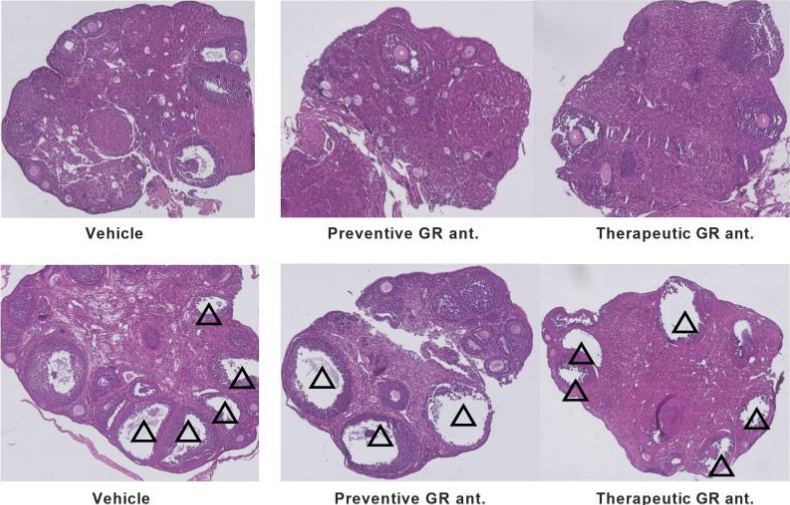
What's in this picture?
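Six pink-purple stained cross-sections of ovary are arranged in two rows of three. The upper-row sections show a dense, fairly uniform stroma containing follicles of several sizes and some large, solid, evenly stained rounded bodies, with only a few open follicular cavities. The cavities marked by triangles appear empty or contain only sparse pale material. In the lower-row sections the large solid rounded bodies are much less conspicuous than in the upper row.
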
